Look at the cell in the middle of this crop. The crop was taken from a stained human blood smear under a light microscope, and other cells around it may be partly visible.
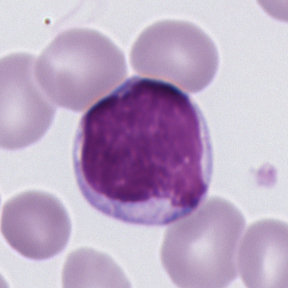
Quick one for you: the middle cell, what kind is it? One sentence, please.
The cell featured at the centre of this crop is a large granular lymphocyte.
